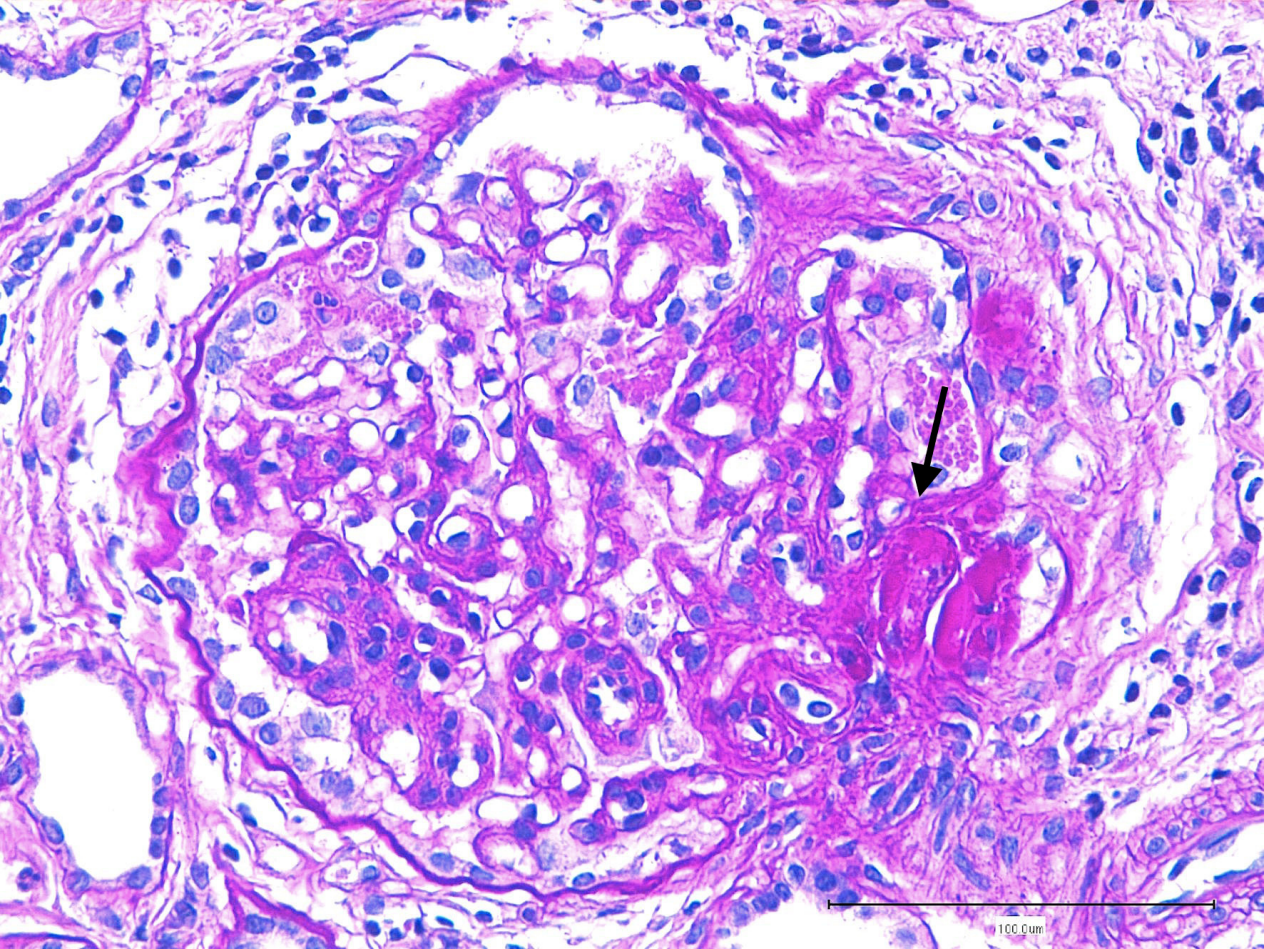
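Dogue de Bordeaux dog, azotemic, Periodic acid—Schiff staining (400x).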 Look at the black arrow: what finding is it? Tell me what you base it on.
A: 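Near the arrow tip lie homogeneous, glassy, intensely magenta masses. These masses contain no nuclei. They lie at the edge of the tuft toward its lower right. So: hyaline material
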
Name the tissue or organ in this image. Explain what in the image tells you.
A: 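A rounded tuft of looping capillaries fills the center. The tuft is enclosed by a thin magenta capsule with a space around it. Tubules and interstitium surround the structure. The answer: Glomerulus.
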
